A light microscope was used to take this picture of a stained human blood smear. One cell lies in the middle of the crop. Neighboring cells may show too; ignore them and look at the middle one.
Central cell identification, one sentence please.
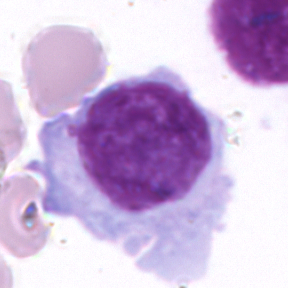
Occupying the centre of the crop is a plasma cell.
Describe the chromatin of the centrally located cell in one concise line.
Answer: the chromatin is fine and has no coarse clumps.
